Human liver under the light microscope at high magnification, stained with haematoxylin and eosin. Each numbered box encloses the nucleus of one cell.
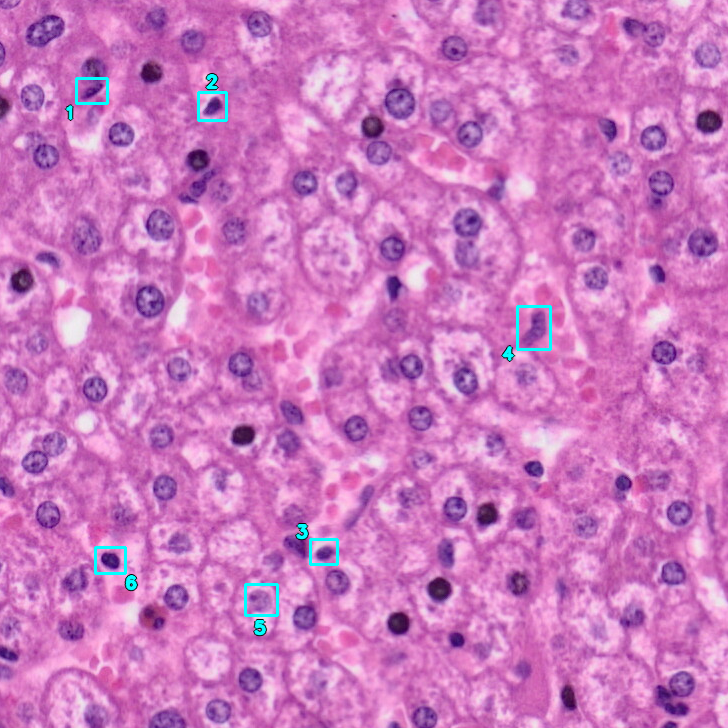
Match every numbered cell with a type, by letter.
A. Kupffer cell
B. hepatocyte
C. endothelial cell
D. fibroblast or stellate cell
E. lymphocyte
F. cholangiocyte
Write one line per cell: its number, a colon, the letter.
1: D
2: E
3: E
4: A
5: B
6: E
